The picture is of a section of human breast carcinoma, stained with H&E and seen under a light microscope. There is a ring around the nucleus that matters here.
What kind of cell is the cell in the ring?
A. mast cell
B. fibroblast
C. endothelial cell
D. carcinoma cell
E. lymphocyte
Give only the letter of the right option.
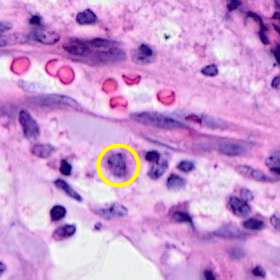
A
